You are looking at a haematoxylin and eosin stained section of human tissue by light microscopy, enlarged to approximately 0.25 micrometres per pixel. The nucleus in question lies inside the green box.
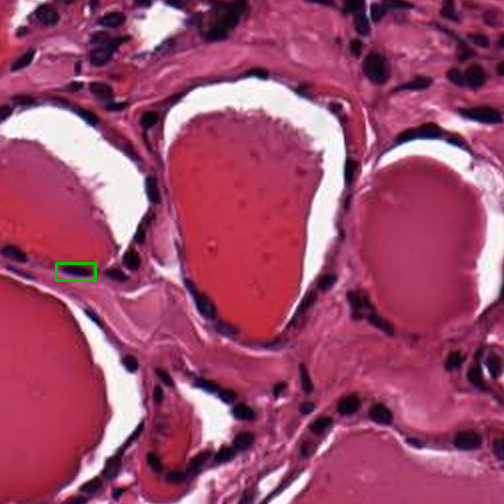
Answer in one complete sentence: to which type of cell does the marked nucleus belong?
The mark indicates the nucleus of a thyroid follicular cell.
